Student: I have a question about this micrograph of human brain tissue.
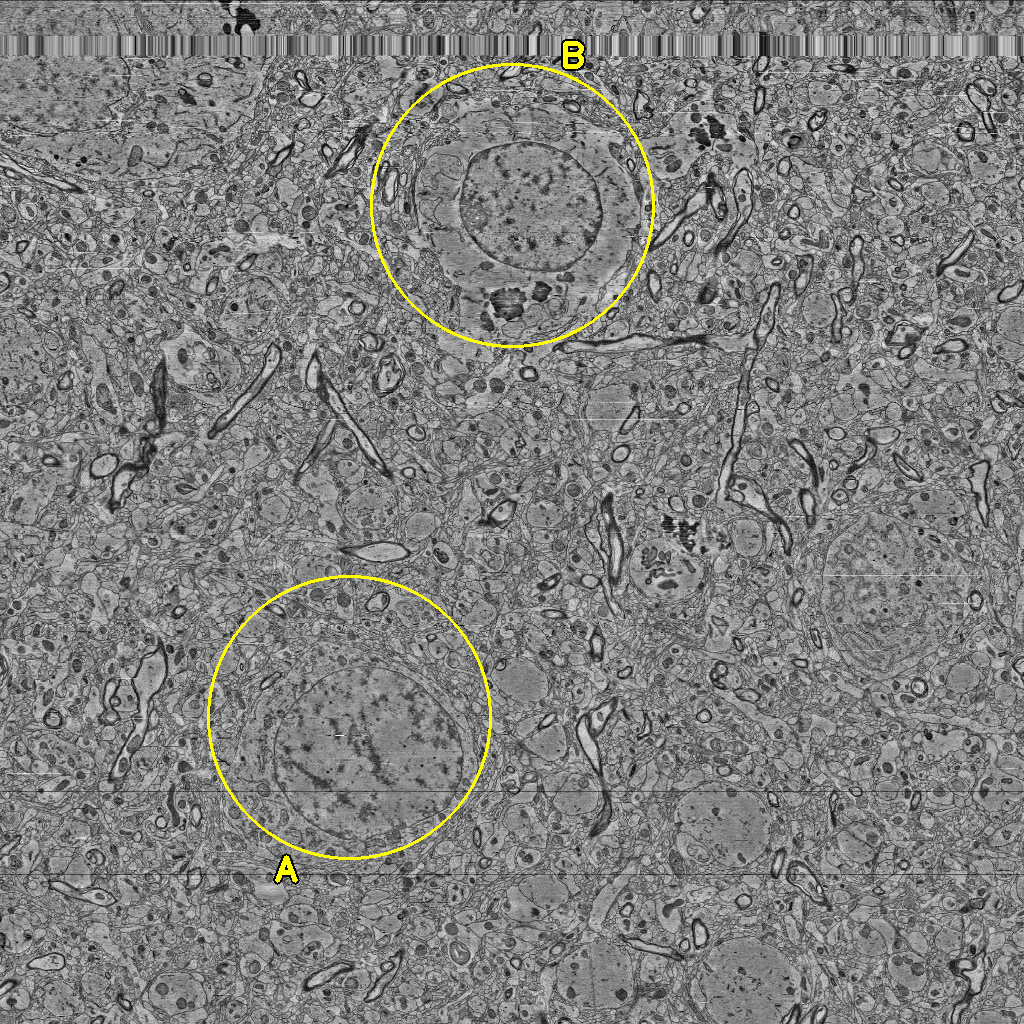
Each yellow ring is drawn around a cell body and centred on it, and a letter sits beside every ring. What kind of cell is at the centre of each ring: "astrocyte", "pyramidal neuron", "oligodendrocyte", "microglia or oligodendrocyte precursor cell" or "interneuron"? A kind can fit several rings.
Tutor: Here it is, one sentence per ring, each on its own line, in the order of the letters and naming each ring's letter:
For ring A, the cell at the centre is a pyramidal neuron.
For ring B, the cell at the centre is an astrocyte.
